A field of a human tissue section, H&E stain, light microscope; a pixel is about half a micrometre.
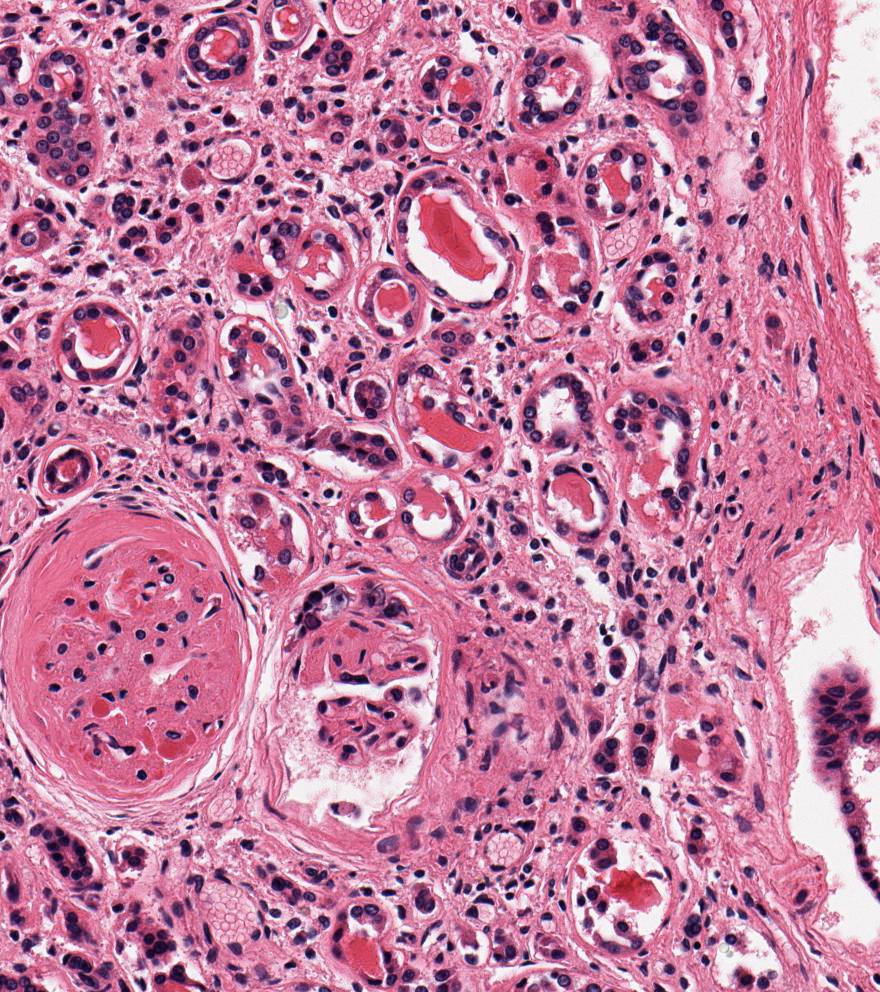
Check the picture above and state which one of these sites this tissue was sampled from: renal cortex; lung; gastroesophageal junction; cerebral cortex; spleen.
renal cortex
